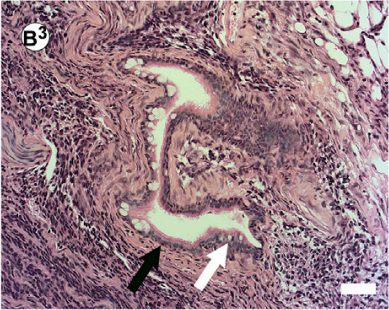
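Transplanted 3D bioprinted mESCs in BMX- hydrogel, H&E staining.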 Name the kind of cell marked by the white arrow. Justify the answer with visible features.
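The white arrow points to pale rounded vacuolated cells within the lumen lining.
Conclusion: goblet cells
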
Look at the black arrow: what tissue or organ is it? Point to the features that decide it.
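Columnar epithelial. The black arrow points to an epithelium lining a lumen. Its cells are tall with elongated nuclei in a row.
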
